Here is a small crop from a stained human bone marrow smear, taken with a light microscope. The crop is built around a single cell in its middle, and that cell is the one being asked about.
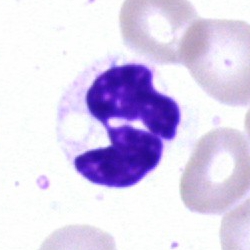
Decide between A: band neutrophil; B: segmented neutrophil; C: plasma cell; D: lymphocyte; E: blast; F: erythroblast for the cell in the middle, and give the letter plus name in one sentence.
It is a segmented neutrophil that occupies the centre of the crop, so option B is correct.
